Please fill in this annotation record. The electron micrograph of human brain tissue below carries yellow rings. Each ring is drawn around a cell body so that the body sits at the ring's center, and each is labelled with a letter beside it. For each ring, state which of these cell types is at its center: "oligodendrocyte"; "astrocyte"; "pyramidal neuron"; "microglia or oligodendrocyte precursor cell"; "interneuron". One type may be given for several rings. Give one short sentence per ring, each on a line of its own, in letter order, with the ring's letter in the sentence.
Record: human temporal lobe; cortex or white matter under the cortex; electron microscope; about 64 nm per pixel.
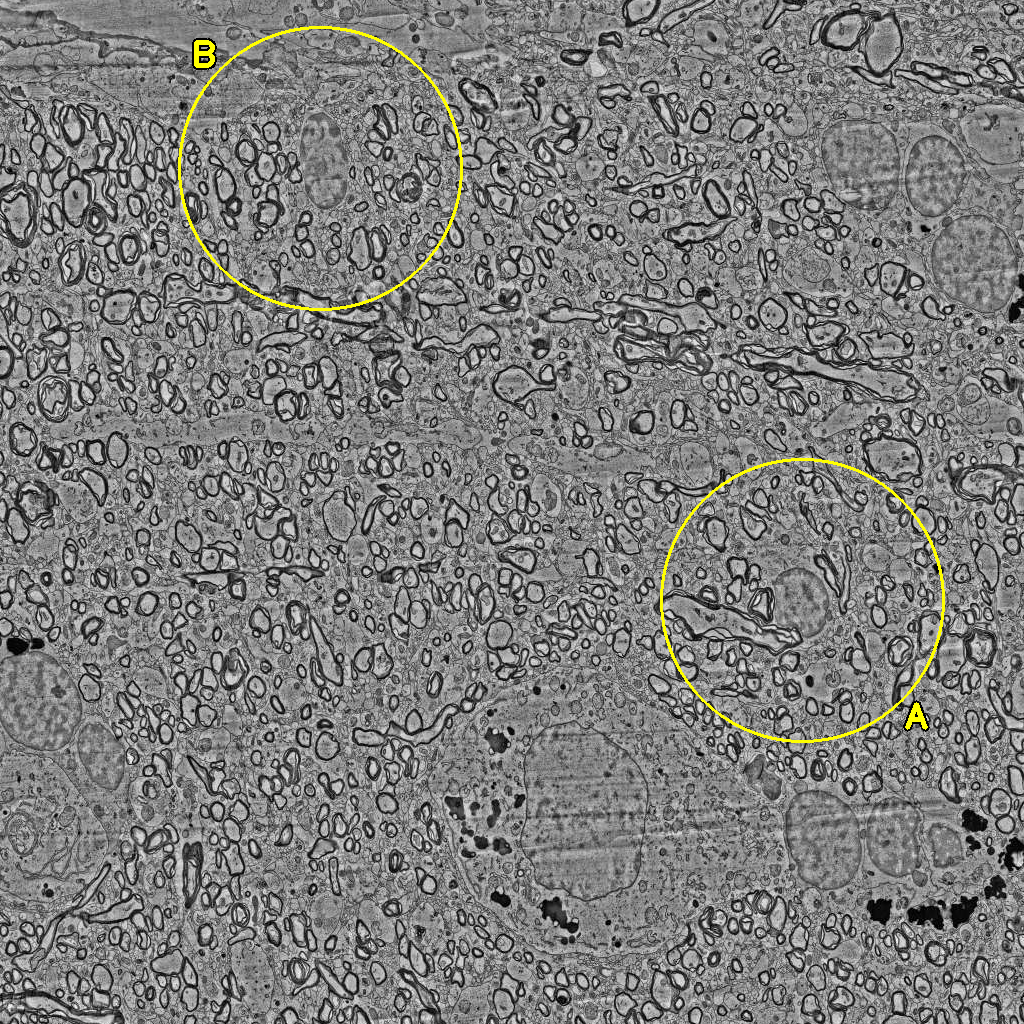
Ring A is drawn around an oligodendrocyte.
Ring B is drawn around a microglial cell or oligodendrocyte precursor cell.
